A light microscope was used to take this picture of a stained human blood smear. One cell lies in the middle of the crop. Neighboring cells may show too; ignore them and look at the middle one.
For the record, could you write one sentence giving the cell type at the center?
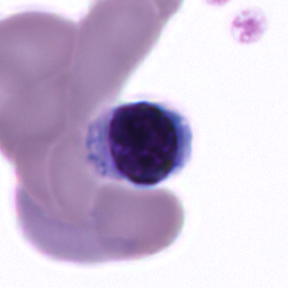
The middle cell in this particular crop is a plasma cell.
